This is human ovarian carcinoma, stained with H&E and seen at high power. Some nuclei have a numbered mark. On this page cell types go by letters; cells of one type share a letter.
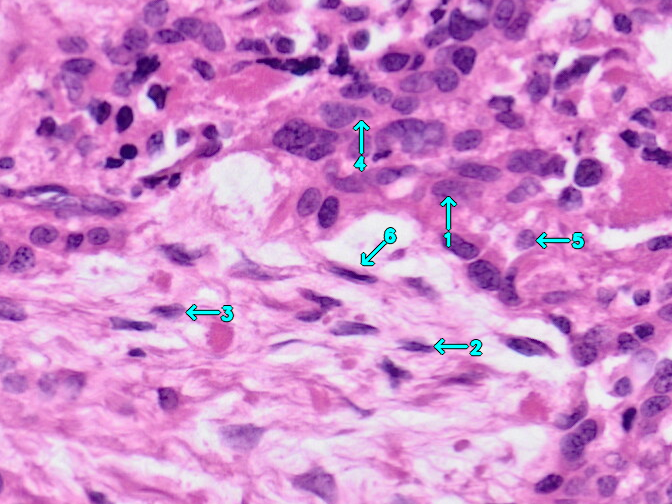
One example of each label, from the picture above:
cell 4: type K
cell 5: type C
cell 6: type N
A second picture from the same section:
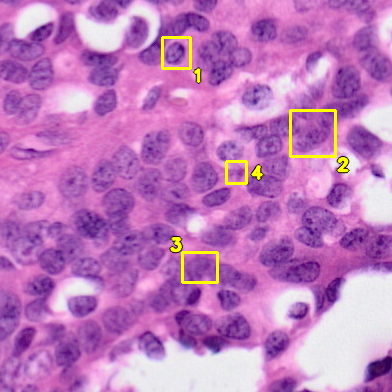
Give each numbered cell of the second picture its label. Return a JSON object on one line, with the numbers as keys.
{"1": "type C", "2": "type K", "3": "type K", "4": "type K"}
